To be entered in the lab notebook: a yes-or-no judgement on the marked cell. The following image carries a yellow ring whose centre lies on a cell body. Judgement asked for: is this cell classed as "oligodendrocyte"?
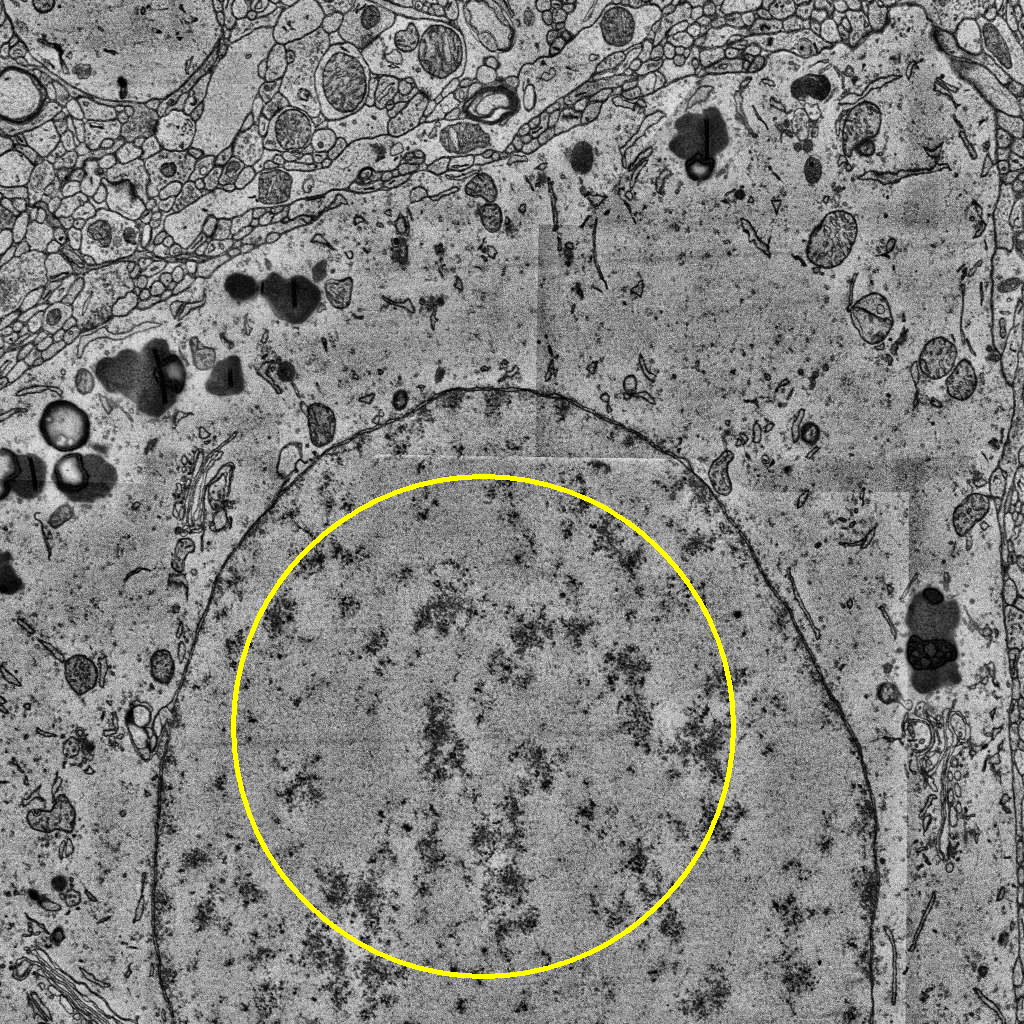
No, it falls in another class.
